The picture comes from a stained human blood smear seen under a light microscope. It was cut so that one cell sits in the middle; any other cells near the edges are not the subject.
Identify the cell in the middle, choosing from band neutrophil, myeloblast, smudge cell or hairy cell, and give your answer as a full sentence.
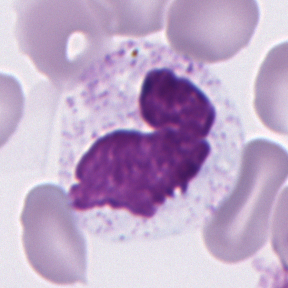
The middle of this crop holds a band neutrophil.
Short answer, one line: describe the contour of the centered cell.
Thanks for asking; the cell edge is smooth and has no projections.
